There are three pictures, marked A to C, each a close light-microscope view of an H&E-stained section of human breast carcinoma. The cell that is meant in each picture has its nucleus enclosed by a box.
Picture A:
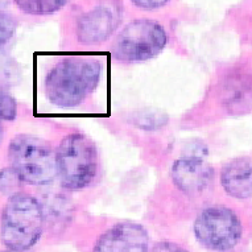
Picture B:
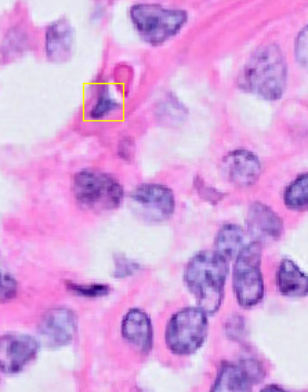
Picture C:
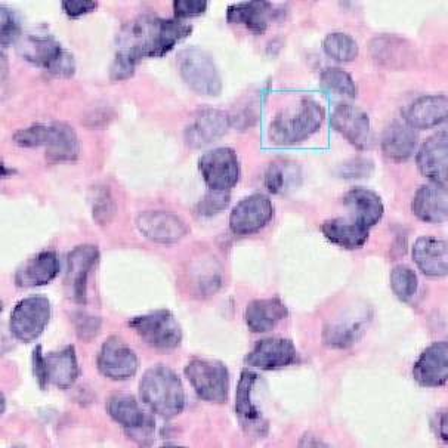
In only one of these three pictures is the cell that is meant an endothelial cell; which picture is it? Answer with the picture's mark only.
B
